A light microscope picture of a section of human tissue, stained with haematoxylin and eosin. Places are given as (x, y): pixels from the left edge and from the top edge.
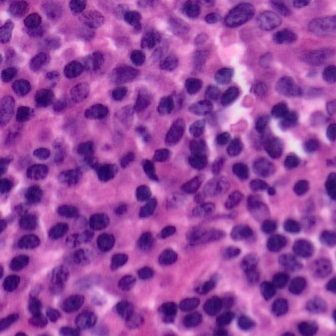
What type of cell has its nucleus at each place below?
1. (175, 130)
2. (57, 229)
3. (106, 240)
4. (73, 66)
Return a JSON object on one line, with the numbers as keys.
{"1": "squamous epithelial cell", "2": "plasma cell", "3": "plasma cell", "4": "plasma cell"}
